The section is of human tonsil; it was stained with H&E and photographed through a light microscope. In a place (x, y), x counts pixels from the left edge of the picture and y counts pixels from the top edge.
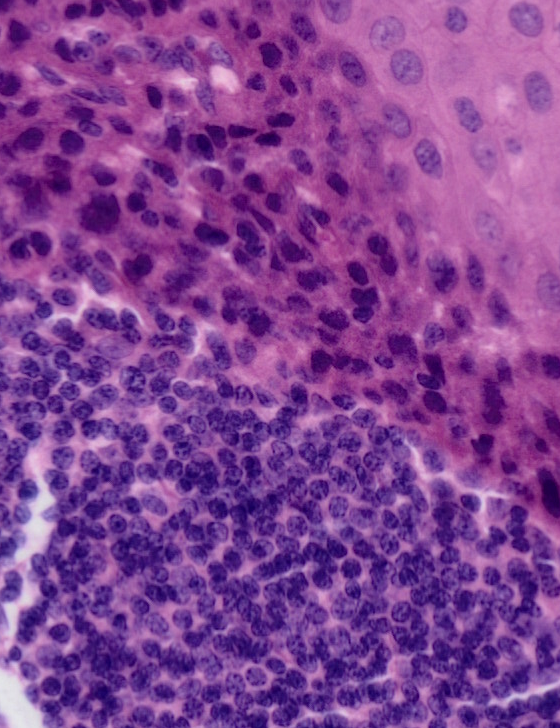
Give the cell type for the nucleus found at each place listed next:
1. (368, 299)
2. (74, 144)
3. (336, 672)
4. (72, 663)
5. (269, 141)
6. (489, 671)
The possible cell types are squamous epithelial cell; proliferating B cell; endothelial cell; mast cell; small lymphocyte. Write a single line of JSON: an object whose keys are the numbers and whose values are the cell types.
{"1": "squamous epithelial cell", "2": "squamous epithelial cell", "3": "small lymphocyte", "4": "small lymphocyte", "5": "squamous epithelial cell", "6": "small lymphocyte"}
